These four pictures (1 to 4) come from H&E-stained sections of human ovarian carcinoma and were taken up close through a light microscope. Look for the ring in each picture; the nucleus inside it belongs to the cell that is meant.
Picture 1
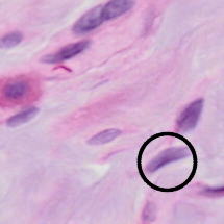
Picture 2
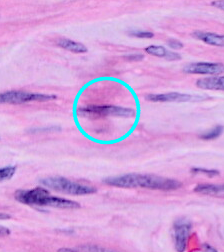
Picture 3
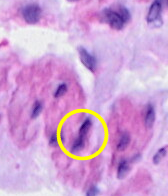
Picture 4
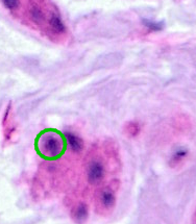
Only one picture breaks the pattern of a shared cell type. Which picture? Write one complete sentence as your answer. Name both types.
The others show smooth muscle cells, but picture 1 shows a fibroblast.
